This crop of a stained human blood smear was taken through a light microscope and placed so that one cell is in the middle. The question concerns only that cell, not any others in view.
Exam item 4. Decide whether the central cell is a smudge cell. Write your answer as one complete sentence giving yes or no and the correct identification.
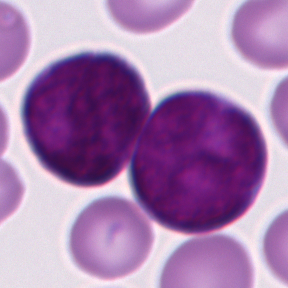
No, the middle cell is actually a myeloblast rather than a smudge cell.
